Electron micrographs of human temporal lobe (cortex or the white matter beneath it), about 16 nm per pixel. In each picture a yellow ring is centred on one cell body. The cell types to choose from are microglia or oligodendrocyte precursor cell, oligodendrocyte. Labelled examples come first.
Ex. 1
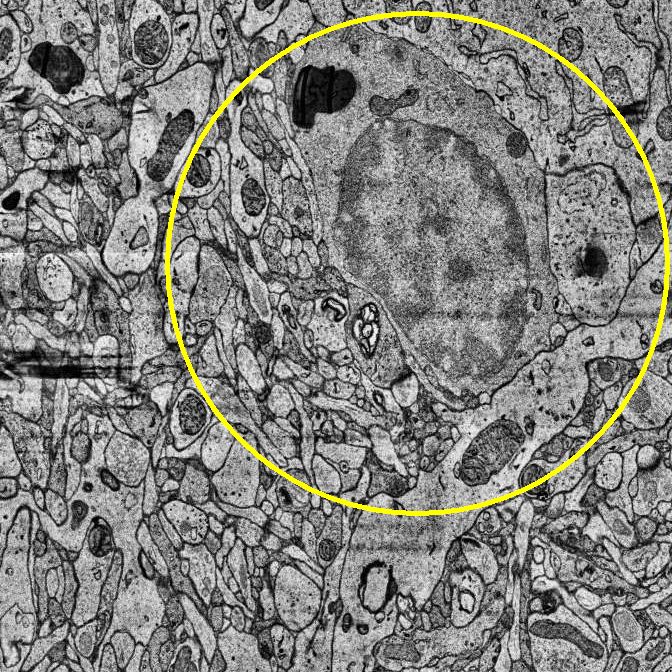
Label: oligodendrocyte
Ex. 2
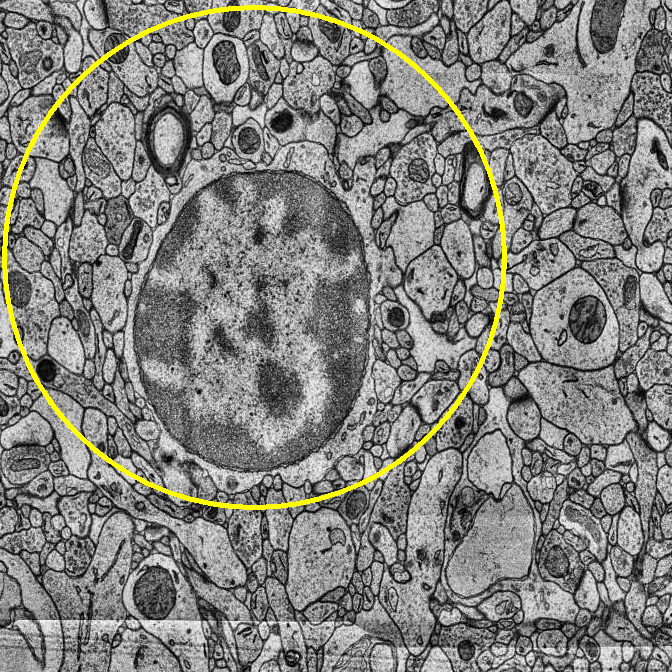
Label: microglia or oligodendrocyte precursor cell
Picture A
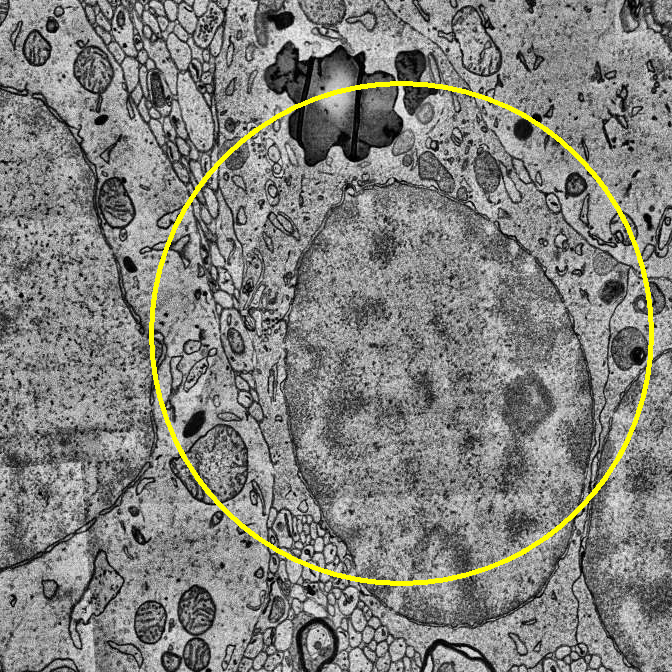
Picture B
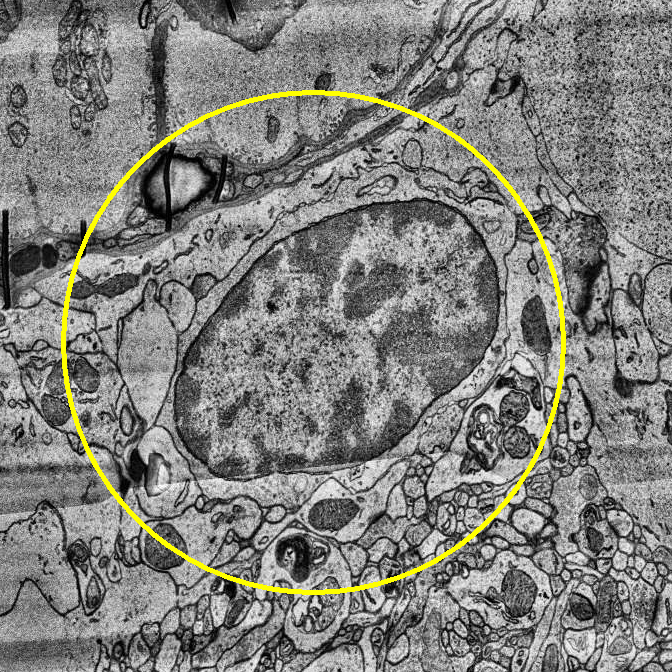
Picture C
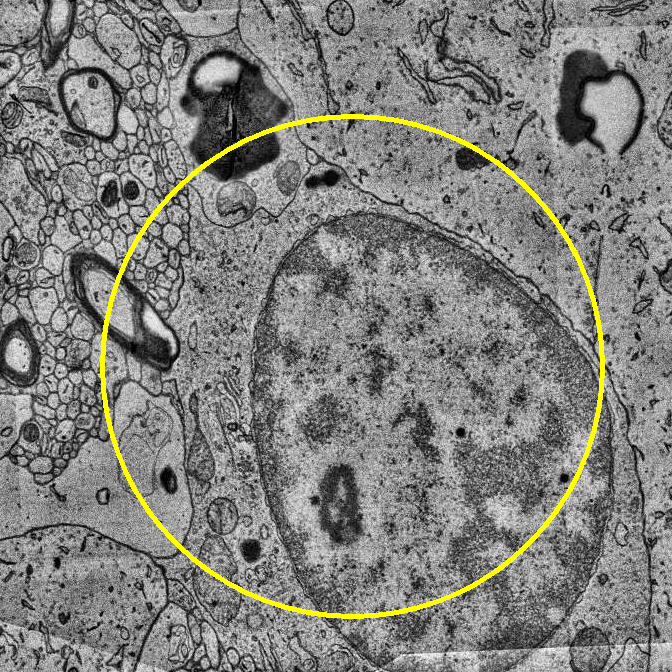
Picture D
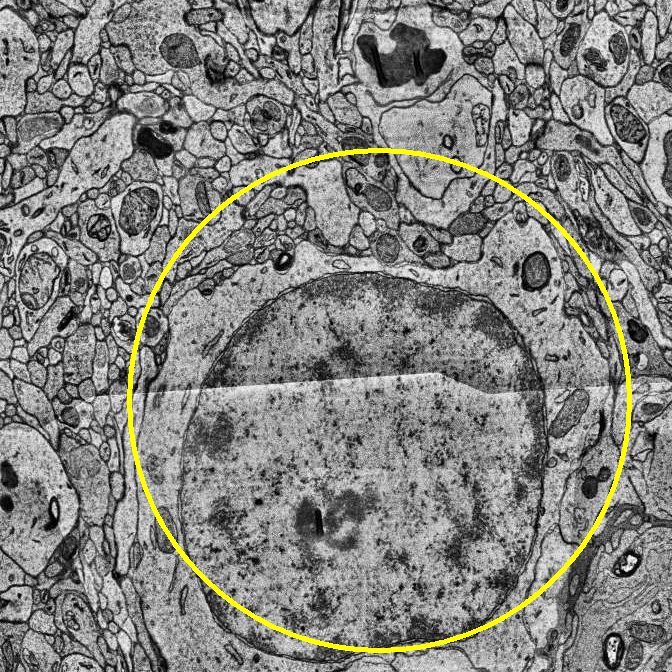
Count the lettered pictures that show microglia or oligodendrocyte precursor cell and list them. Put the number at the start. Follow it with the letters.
Count: 2 (B, D)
